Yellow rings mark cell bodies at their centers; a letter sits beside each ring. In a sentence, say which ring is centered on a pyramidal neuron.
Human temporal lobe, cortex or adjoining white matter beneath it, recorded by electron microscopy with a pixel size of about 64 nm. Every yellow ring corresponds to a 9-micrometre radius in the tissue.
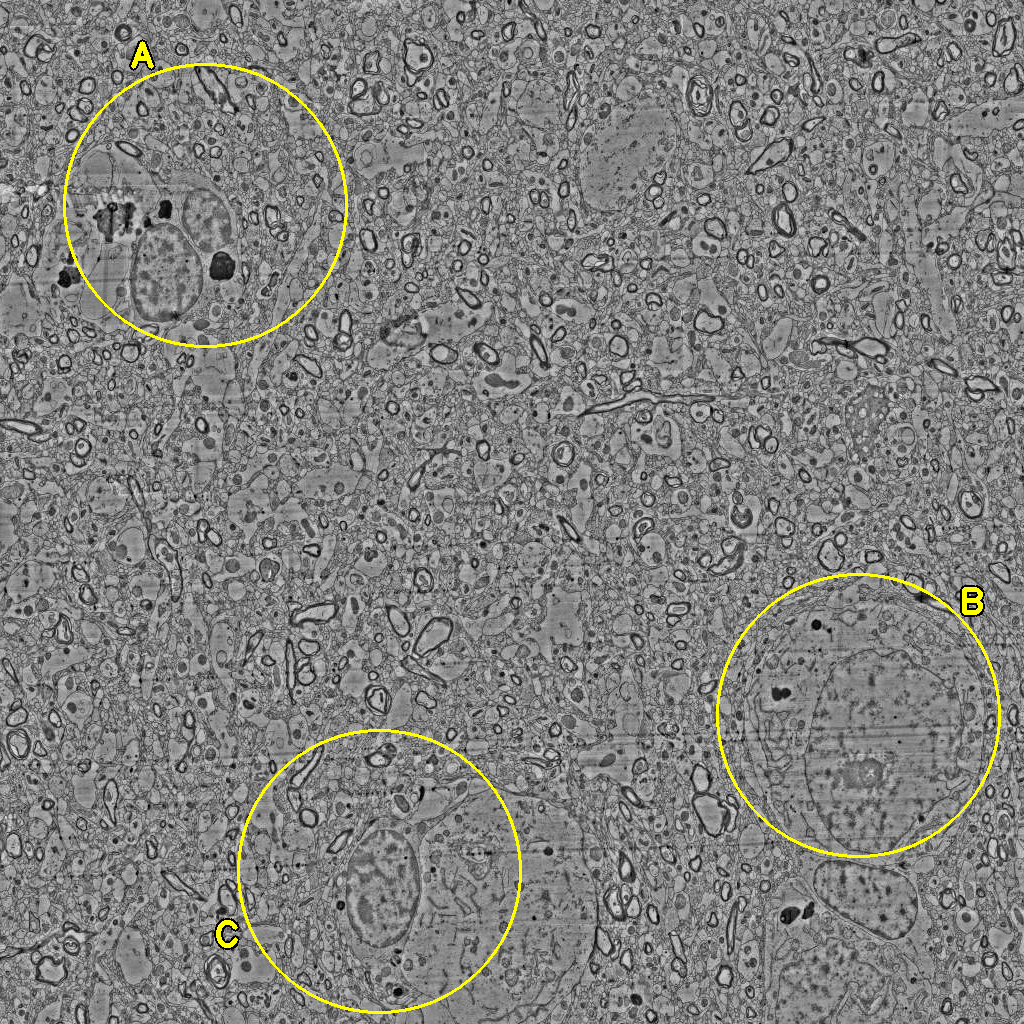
It is ring B.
